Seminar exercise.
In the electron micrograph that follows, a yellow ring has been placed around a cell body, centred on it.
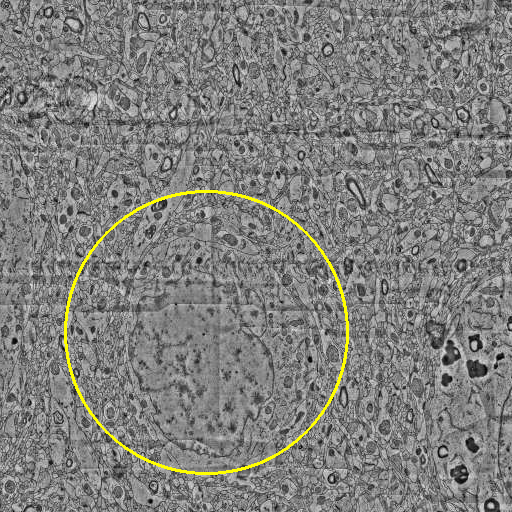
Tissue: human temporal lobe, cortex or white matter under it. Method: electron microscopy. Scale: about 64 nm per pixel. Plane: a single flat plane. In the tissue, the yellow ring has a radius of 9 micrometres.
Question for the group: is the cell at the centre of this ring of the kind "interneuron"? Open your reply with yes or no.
Yes, the cell in the ring's centre is of that kind.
